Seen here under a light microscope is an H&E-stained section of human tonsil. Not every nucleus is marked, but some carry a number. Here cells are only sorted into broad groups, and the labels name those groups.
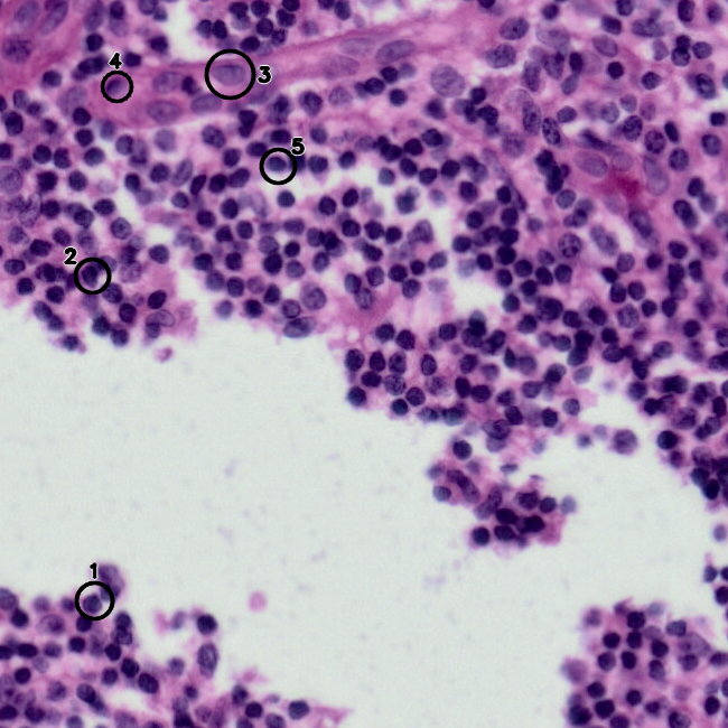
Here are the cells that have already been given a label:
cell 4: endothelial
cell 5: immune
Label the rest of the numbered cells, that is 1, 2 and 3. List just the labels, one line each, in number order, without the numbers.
immune
immune
endothelial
